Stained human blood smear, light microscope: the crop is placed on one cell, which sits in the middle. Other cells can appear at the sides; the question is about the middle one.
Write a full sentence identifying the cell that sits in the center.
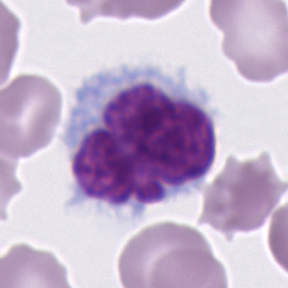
The cell sitting right in the middle is a hairy cell.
